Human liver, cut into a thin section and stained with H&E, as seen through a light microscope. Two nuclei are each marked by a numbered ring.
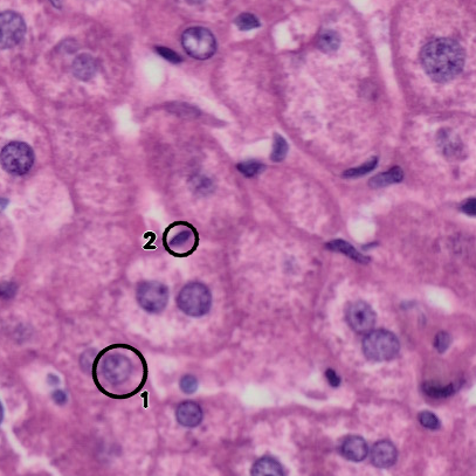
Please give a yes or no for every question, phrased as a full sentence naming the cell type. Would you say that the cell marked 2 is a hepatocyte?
No, cell 2 is not a hepatocyte; a fibroblast or stellate cell is correct.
